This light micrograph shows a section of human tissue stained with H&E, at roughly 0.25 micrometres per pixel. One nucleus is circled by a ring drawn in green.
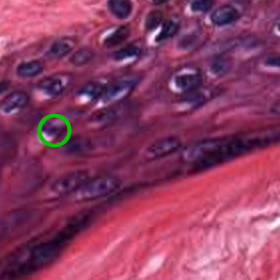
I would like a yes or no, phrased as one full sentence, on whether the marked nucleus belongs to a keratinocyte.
Yes, in this field of view the marked nucleus belongs to a keratinocyte.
